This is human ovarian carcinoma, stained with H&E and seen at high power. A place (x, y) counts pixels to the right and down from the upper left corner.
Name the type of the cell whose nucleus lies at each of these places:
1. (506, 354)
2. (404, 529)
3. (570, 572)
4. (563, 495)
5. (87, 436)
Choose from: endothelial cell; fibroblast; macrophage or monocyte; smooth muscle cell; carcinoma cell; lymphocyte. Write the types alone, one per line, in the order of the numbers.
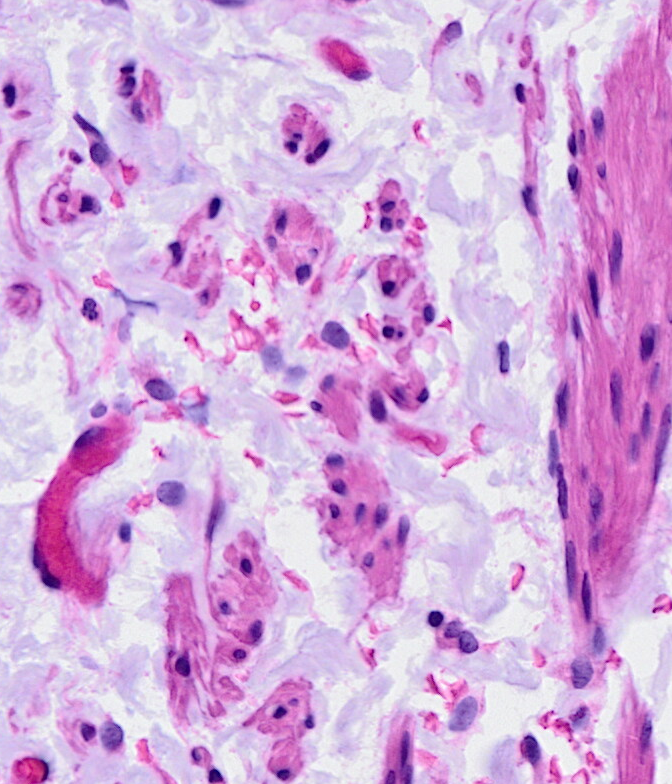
fibroblast
smooth muscle cell
smooth muscle cell
smooth muscle cell
endothelial cell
